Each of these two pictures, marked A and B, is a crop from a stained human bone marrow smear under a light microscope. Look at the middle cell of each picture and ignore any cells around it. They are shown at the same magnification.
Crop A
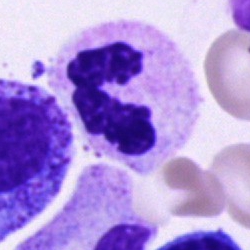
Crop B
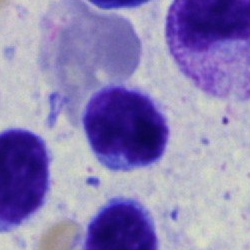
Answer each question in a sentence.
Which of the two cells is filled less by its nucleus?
Of the two, the nucleus in crop A leaves more room for cytoplasm.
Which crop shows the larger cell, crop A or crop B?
Crop A holds the larger cell; it covers about 2.5 times the area of the cell in crop B.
